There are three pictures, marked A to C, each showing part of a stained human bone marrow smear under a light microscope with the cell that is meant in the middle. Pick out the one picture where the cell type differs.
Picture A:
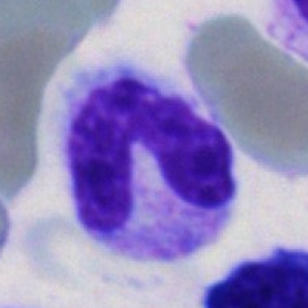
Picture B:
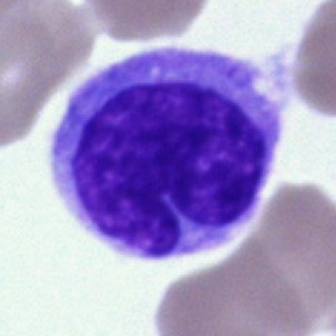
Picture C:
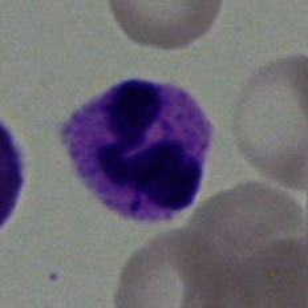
B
